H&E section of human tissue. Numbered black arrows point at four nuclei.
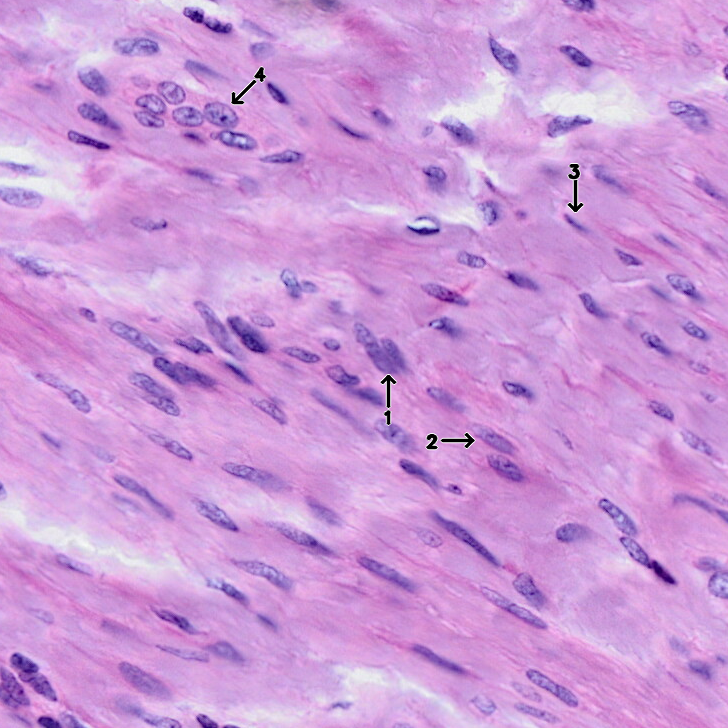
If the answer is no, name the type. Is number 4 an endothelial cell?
Yes.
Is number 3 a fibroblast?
Yes.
